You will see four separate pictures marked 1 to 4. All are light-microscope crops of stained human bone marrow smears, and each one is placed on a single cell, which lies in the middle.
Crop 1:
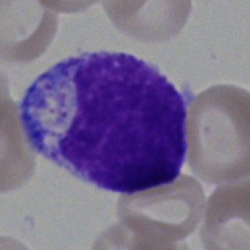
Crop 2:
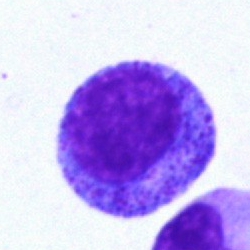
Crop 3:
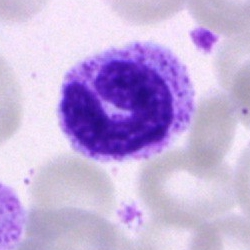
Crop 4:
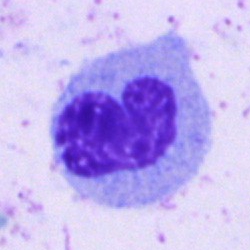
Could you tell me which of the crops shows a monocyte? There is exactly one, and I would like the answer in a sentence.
Of the crops given, a monocyte is found in crop 4.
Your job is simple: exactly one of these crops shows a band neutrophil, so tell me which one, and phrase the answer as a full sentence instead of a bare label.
In this set, crop 3 is the one showing a band neutrophil.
